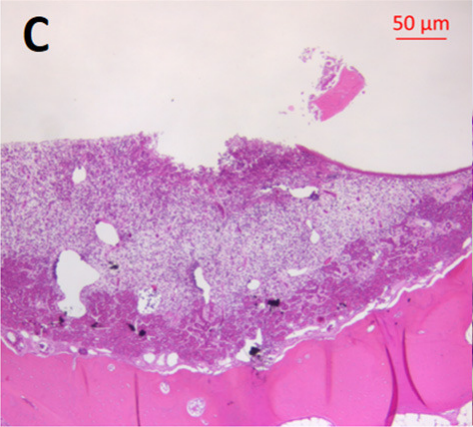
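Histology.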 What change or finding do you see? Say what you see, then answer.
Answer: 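Superficial mucosal ulceration. The surface of the tissue has no continuous epithelial lining. A ragged, densely purple-stained layer forms the surface. A detached fragment lies above the surface.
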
